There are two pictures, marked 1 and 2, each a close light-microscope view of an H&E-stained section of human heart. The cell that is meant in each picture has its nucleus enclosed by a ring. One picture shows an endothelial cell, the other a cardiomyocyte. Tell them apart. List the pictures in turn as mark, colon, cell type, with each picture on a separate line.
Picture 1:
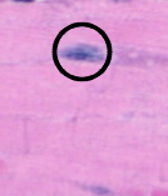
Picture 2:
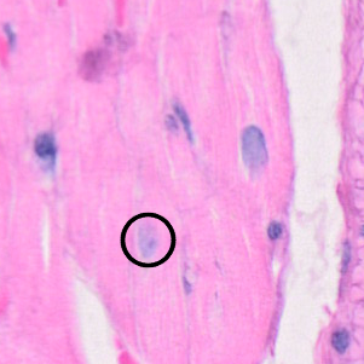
1: endothelial cell
2: cardiomyocyte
